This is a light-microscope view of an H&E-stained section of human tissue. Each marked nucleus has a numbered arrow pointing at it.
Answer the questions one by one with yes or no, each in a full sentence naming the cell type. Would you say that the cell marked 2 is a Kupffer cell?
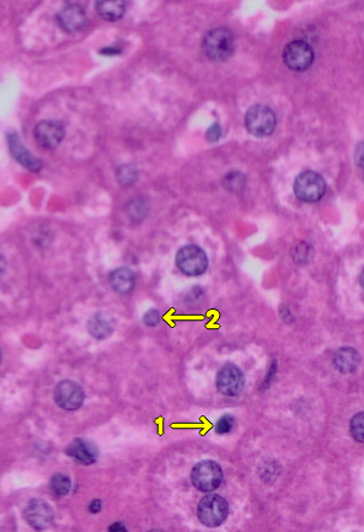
Yes, the cell at the mark numbered 2 is a Kupffer cell.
